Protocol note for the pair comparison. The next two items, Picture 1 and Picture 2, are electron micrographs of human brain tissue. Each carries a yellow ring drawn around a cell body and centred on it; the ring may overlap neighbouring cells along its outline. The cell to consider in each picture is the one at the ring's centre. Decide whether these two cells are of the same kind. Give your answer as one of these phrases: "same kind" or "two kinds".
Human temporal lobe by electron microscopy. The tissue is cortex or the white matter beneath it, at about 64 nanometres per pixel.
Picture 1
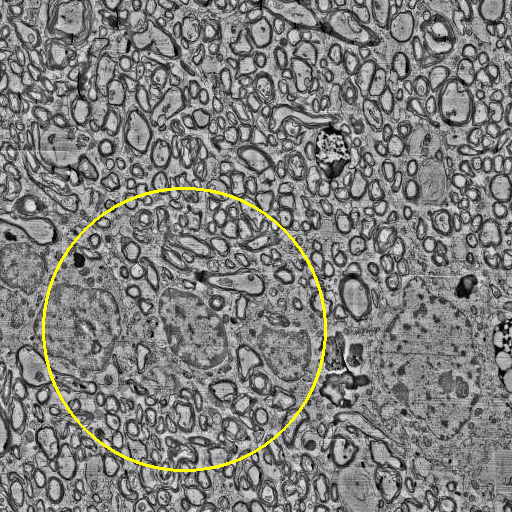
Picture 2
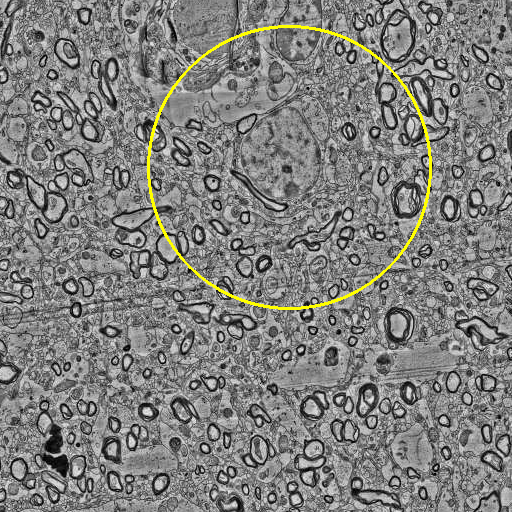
same kind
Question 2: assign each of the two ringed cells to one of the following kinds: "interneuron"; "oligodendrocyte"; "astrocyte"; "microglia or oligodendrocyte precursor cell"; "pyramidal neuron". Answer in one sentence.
Both pictures show a microglial cell or oligodendrocyte precursor cell at the centre of the ring.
